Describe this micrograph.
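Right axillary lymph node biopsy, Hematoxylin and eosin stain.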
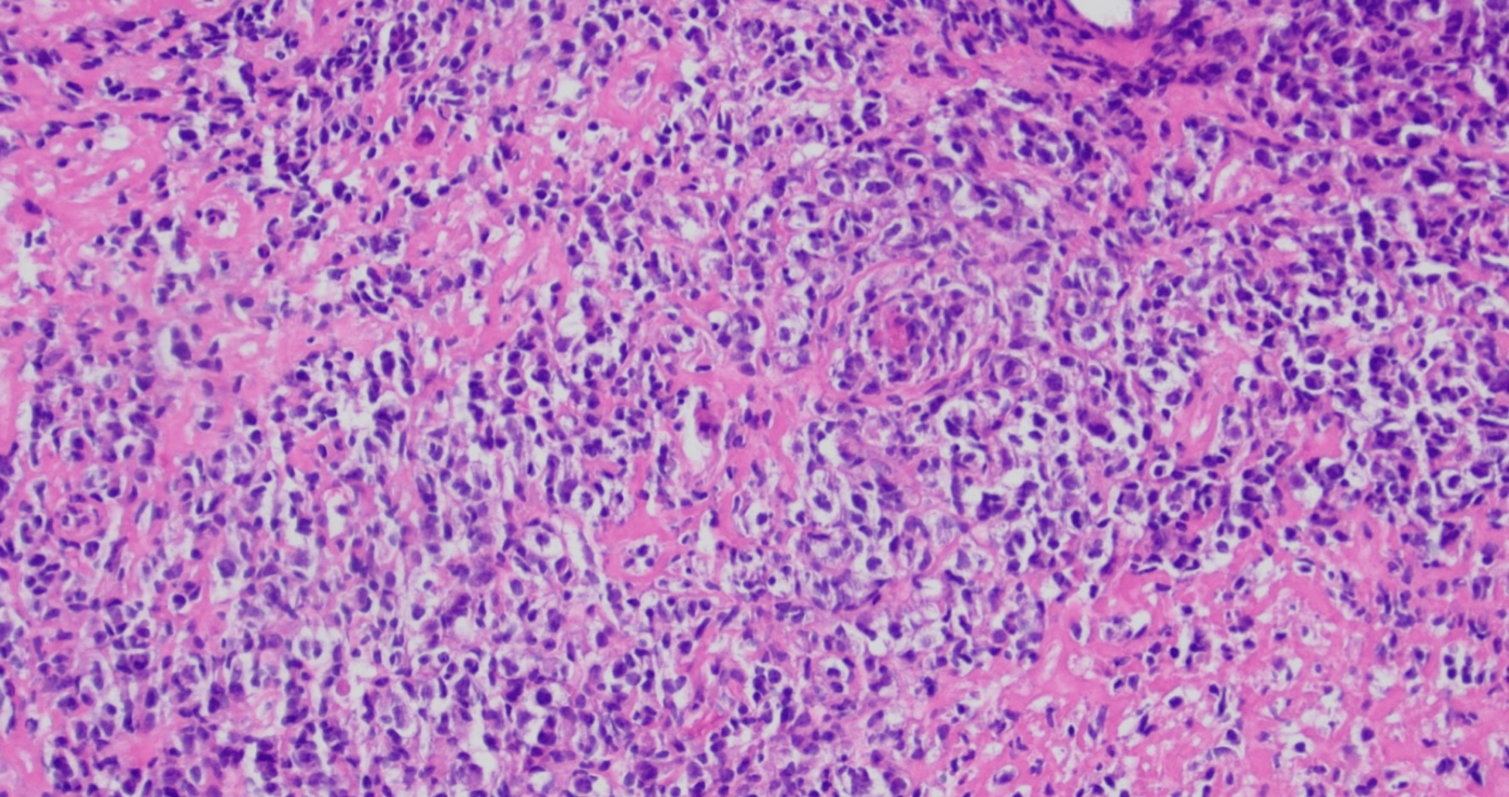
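Dense sheets of single-nucleated cells fill the tissue, with nuclei varying widely in size and shape, from small and dark to larger, irregular and paler. Many cells have pale, clear or bubbly cytoplasm, or sit inside clear halos that set them apart from their neighbours. Strands of pink fibrous stroma and small vessels run between the groups of cells.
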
